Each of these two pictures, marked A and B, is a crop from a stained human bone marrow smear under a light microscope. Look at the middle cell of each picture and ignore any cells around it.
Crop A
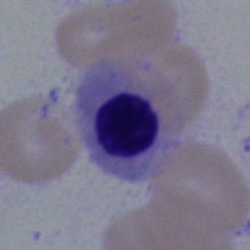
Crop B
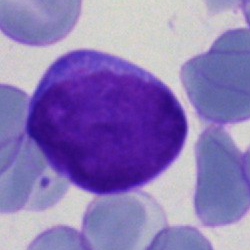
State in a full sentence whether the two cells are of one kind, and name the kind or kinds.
No, enter an erythroblast for crop A and a blast for crop B.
